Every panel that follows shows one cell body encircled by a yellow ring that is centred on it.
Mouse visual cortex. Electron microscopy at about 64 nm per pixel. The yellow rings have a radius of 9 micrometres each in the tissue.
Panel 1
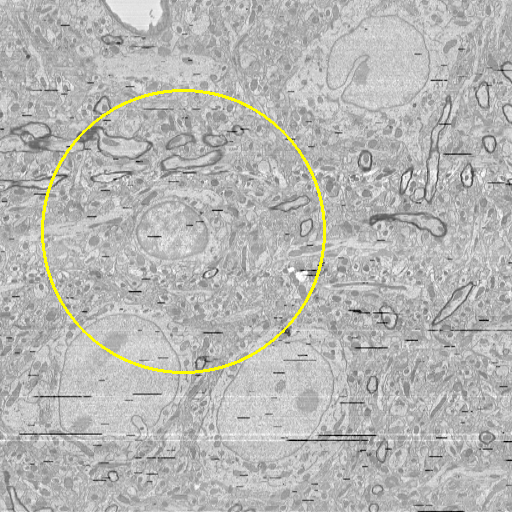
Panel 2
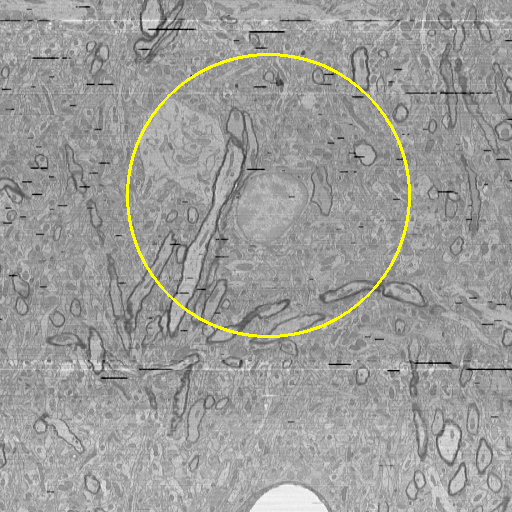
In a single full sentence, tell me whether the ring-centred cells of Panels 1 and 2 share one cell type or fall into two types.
In Panel 1 and Panel 2, the cells at the ring centres share one cell type.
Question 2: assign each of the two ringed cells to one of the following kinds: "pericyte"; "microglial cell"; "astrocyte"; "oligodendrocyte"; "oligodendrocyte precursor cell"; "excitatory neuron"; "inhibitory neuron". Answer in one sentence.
Each cell, in the first picture and the second, is an oligodendrocyte.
